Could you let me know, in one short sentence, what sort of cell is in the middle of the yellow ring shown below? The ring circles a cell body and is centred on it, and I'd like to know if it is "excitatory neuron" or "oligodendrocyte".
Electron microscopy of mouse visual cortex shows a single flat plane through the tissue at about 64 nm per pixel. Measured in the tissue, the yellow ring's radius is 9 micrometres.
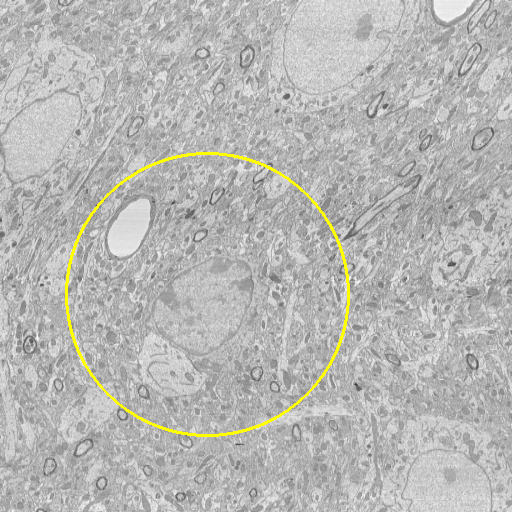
The ring circles the cell body of an oligodendrocyte.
